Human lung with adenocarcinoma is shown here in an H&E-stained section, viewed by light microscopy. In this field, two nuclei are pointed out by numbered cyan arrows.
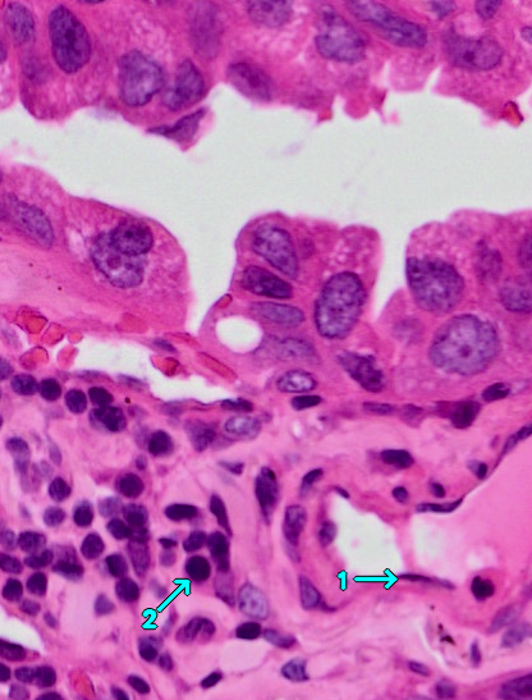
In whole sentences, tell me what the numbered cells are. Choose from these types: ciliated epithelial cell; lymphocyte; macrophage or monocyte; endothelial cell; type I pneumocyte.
Cell 1 is an endothelial cell and cell 2 is a lymphocyte.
